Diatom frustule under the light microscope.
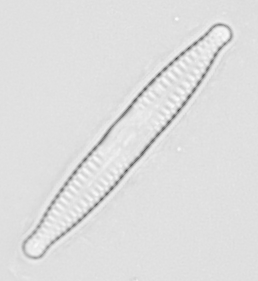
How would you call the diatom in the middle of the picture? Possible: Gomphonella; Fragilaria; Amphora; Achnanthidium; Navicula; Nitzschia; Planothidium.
I would call it Fragilaria.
